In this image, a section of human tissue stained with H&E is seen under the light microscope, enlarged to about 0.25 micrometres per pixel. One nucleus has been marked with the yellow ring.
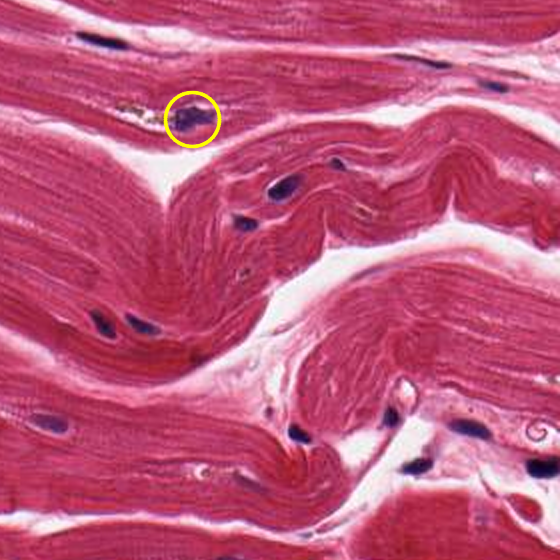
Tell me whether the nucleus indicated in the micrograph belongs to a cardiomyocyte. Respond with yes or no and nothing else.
yes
